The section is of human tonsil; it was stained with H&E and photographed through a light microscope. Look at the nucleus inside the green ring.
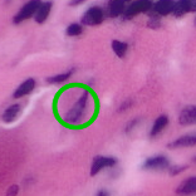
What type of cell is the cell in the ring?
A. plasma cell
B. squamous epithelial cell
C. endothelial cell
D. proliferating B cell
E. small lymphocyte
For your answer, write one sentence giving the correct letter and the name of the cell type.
Here the right answer is C, with the cell in the ring being an endothelial cell.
